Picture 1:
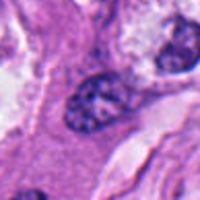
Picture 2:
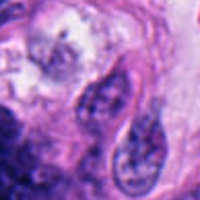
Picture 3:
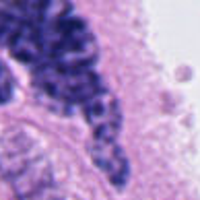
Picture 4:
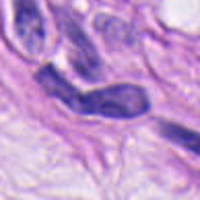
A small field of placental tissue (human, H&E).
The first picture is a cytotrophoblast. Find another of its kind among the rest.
Picture 2.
